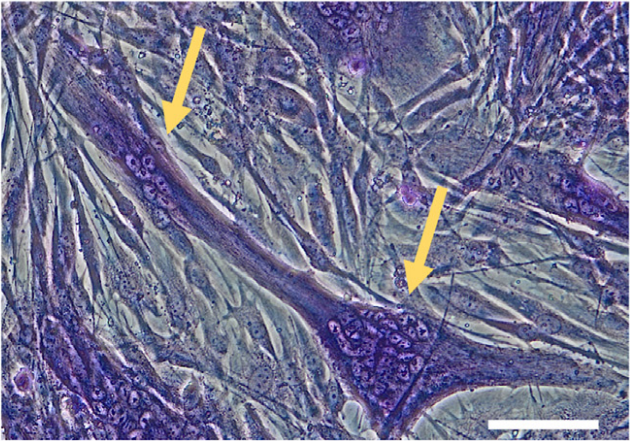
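This culture shows long, multinucleated myotubes lying among many smaller, spindle-shaped cells. The myotubes are broad, purple-stained bands that run diagonally and branch across the field. Within them, oval nuclei with visible nucleoli are crowded into dense clusters rather than spread along the cell. Other lengths of the same myotubes contain few nuclei. Around them, the flatter, pale single cells overlap in a loose, criss-crossing mesh.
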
